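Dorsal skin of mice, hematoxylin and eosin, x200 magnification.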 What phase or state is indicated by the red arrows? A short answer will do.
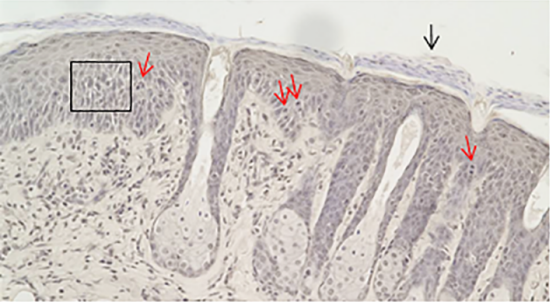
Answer: mitotic figures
